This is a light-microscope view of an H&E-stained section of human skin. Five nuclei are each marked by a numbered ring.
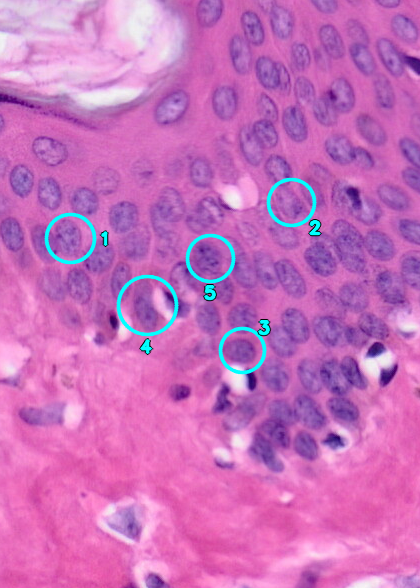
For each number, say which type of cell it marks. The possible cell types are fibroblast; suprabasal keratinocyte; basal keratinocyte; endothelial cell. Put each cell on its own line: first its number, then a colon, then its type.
1: suprabasal keratinocyte
2: suprabasal keratinocyte
3: basal keratinocyte
4: basal keratinocyte
5: suprabasal keratinocyte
